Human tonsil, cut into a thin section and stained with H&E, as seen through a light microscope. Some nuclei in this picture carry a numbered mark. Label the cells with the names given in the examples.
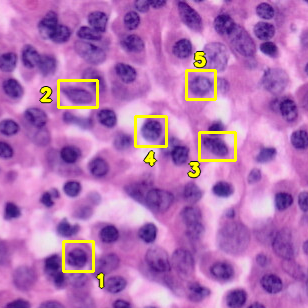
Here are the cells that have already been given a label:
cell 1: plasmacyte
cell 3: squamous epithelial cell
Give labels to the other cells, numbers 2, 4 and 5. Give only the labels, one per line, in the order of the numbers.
squamous epithelial cell
plasmacyte
plasmacyte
